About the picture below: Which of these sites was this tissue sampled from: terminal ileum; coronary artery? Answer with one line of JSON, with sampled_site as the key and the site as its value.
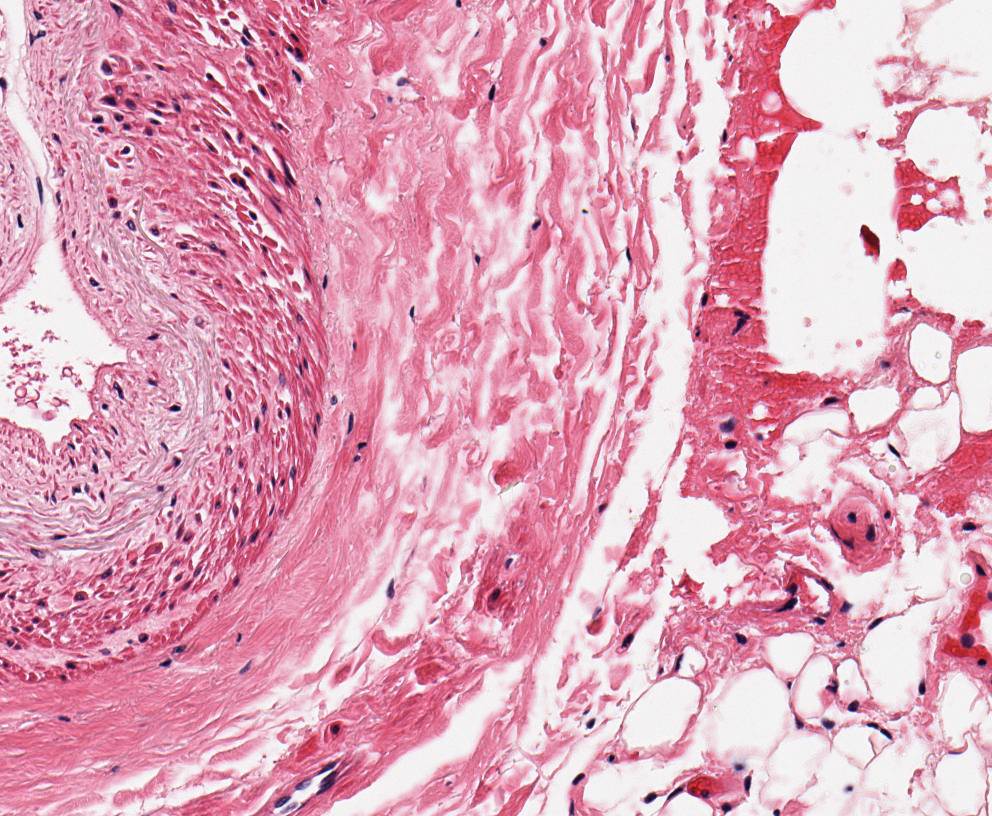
{"sampled_site": "coronary artery"}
